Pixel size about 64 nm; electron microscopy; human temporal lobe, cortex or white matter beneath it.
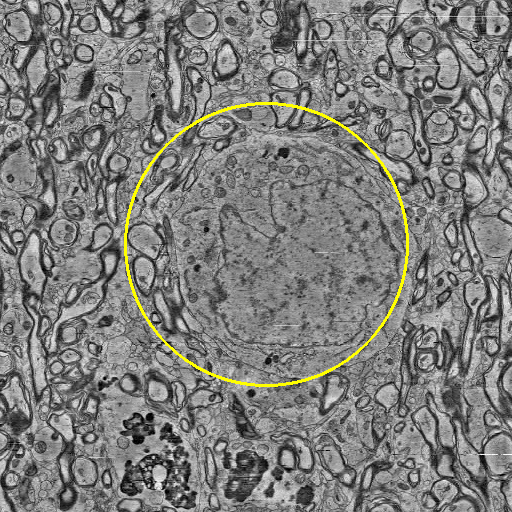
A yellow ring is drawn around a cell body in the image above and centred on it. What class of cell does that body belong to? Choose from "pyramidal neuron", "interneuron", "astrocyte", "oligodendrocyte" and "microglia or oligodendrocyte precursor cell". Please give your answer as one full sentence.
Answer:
The yellow ring above is centred on the cell body of an interneuron.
